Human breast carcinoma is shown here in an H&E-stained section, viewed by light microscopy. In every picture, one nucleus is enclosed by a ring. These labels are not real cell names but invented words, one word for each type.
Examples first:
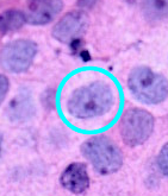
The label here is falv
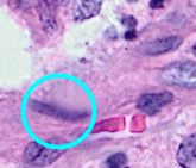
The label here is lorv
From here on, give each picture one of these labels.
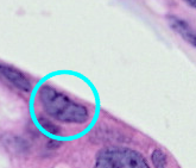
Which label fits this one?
falv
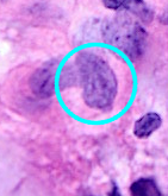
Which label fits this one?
falv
